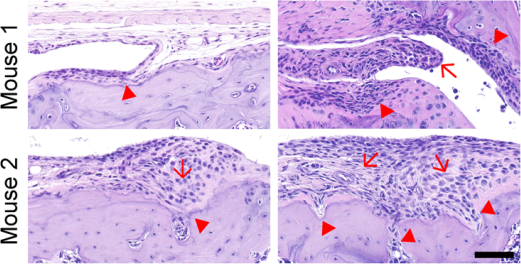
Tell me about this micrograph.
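The lower part of each image is pale pink bone matrix with scattered small cells in lacunae. Above it lies soft tissue crowded with small dark nuclei, forming a thick cellular layer that in several images covers and presses against the bone surface. Where this cellular tissue meets the bone, the bone edge is irregular, with pits and notches into which the tissue extends. In some images a cleft of joint space separates a folded layer of cellular tissue from the bone.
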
